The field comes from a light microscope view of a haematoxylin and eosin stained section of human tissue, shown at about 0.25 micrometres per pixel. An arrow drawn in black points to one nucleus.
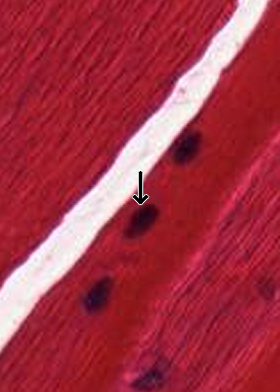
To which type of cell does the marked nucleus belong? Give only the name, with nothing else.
skeletal muscle fibre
